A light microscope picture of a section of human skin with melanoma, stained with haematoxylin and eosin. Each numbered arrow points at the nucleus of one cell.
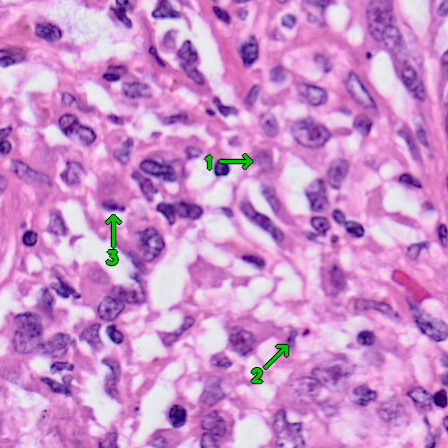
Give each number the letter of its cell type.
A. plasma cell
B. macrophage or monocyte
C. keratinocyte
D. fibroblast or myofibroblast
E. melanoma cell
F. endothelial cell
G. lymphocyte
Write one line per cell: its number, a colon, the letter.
1: E
2: B
3: E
